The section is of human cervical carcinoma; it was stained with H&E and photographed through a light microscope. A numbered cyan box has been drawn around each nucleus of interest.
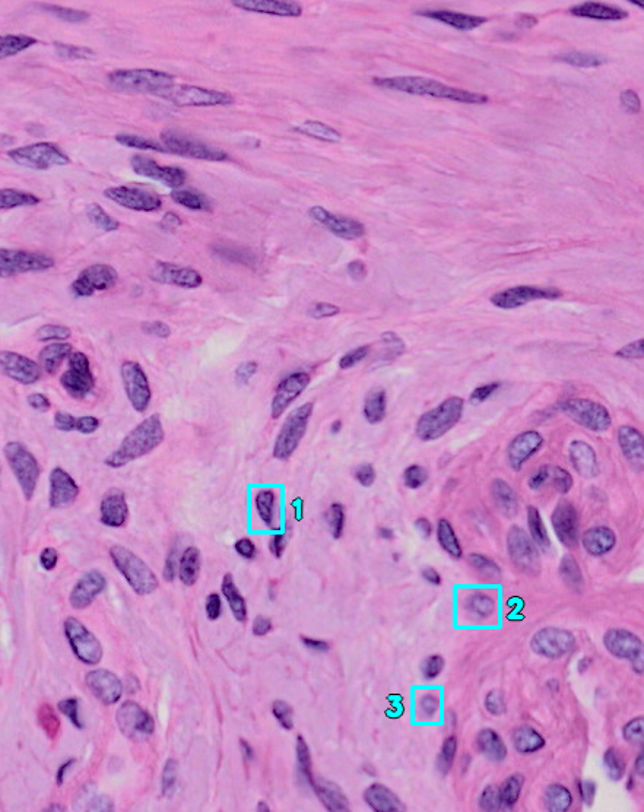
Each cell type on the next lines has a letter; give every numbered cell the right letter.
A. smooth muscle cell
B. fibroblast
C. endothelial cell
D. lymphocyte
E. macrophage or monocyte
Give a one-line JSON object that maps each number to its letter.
{"1": "B", "2": "A", "3": "A"}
